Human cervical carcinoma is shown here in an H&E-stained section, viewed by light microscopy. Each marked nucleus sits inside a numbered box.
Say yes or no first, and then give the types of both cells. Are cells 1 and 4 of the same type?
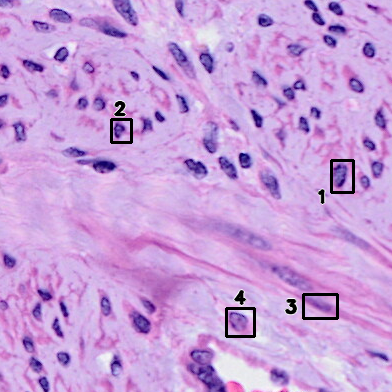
No, cell 1 is a smooth muscle cell, whereas cell 4, for its part, is a macrophage or monocyte.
